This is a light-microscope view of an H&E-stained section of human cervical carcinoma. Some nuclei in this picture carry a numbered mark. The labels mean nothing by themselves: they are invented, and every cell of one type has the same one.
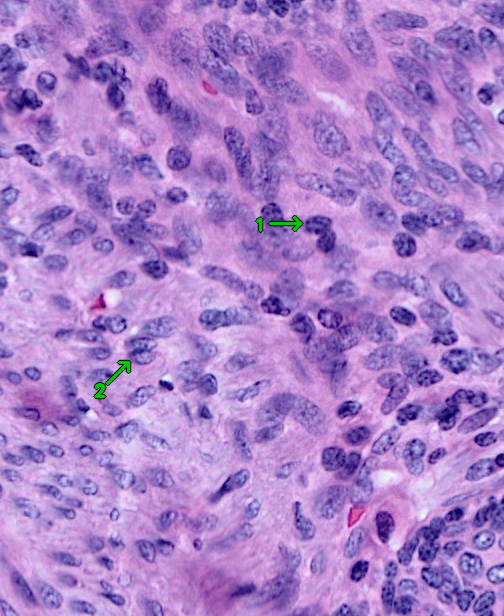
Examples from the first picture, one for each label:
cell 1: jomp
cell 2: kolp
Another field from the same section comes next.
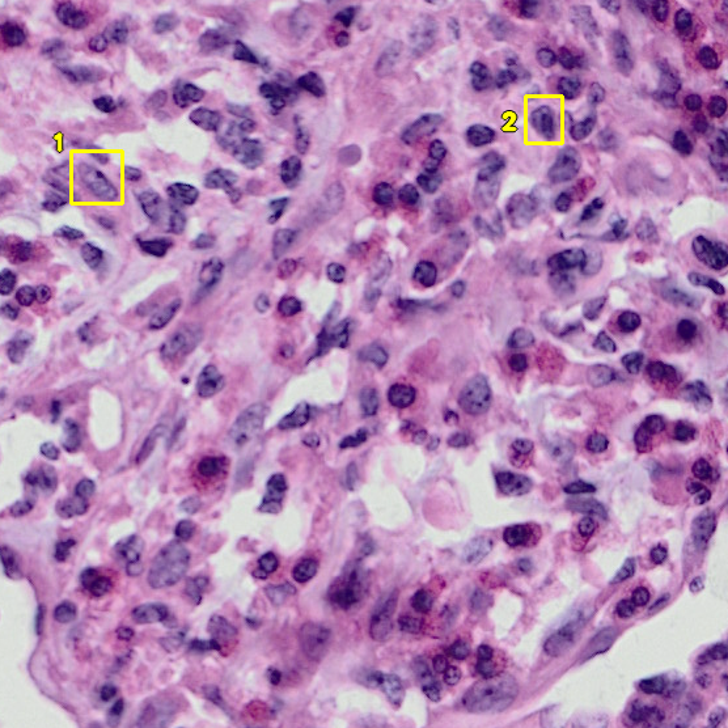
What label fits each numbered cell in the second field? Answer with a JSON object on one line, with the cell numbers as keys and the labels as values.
{"1": "kolp", "2": "jomp"}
